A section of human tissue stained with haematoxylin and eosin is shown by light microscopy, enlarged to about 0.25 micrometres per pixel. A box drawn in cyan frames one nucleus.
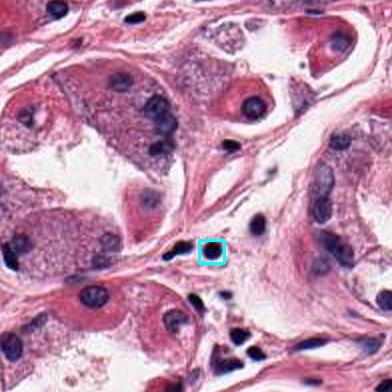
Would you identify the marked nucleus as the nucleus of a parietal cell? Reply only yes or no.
no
